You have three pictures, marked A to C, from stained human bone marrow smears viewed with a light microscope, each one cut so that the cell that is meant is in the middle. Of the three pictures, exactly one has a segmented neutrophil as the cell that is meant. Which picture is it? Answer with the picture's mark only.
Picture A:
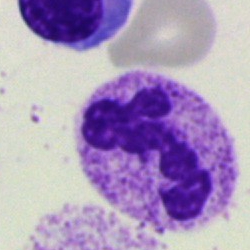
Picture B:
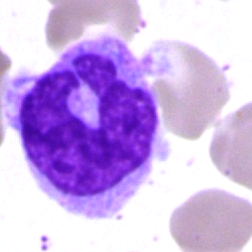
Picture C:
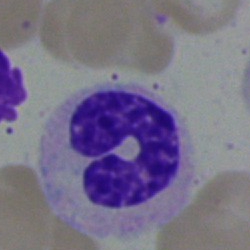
A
